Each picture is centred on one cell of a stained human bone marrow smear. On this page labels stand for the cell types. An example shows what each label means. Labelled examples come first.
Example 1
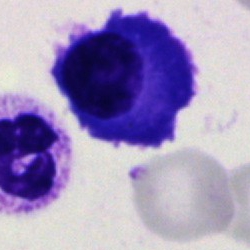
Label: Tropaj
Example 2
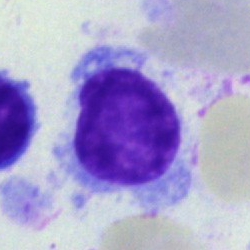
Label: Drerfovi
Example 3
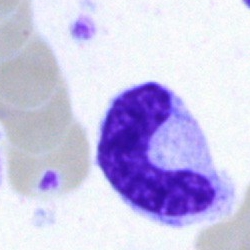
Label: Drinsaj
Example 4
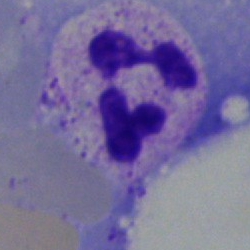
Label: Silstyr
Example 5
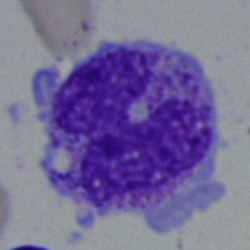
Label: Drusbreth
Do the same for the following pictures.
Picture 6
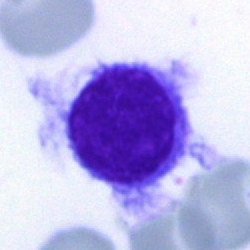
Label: Drerfovi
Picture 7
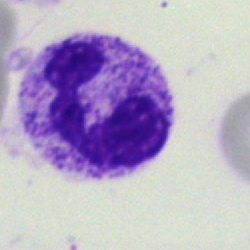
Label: Silstyr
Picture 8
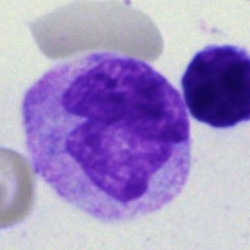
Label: Drusbreth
